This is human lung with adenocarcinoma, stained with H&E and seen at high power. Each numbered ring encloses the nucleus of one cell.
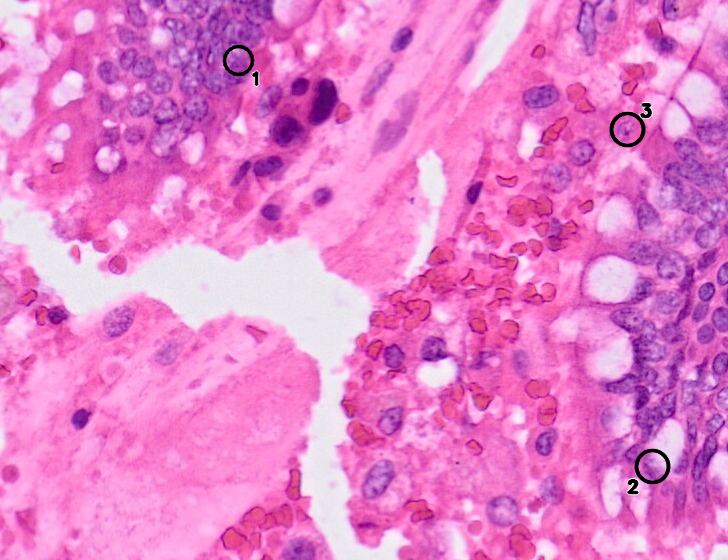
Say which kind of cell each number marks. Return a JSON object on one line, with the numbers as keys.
{"1": "ciliated epithelial cell", "2": "ciliated epithelial cell", "3": "macrophage or monocyte"}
